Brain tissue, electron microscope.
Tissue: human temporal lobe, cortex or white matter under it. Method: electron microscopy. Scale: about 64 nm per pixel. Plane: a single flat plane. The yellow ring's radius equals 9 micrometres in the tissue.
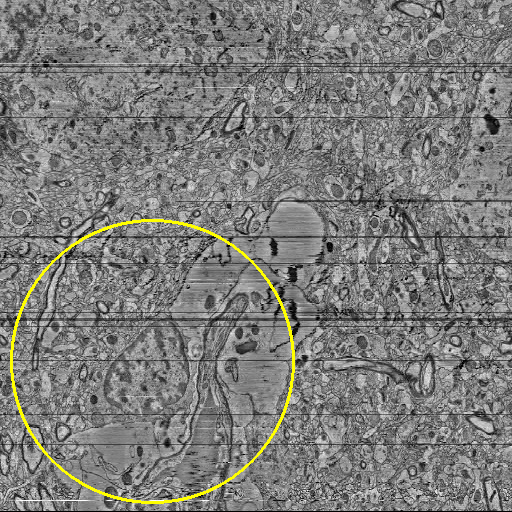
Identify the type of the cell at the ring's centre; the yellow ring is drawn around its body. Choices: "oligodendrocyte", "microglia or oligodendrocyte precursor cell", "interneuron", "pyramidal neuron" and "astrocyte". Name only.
oligodendrocyte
